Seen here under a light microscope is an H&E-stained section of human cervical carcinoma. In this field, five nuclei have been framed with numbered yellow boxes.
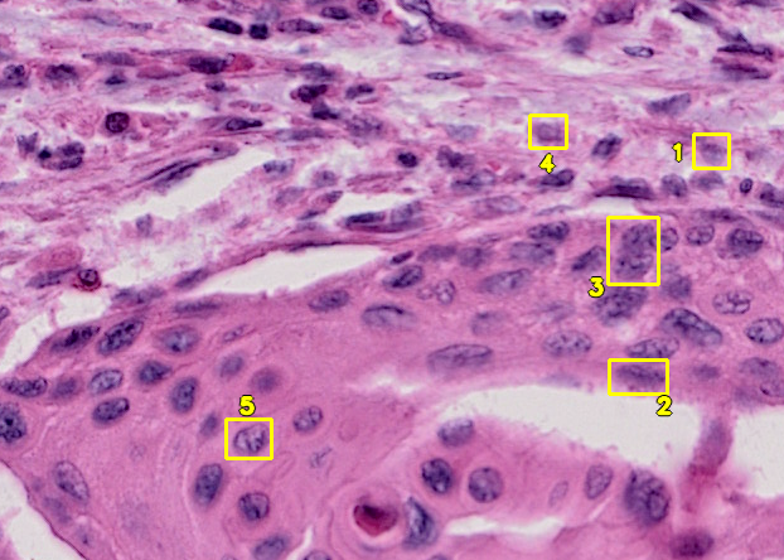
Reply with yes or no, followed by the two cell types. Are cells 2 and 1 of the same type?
No, cell 2 is a squamous carcinoma cell; cell 1, by contrast, is a fibroblast.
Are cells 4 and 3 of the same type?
No, the right answer is a fibroblast for cell 4 and a squamous carcinoma cell for cell 3.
